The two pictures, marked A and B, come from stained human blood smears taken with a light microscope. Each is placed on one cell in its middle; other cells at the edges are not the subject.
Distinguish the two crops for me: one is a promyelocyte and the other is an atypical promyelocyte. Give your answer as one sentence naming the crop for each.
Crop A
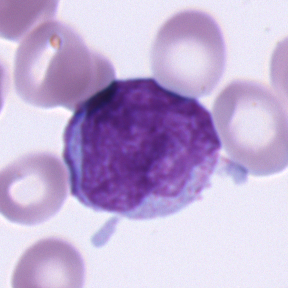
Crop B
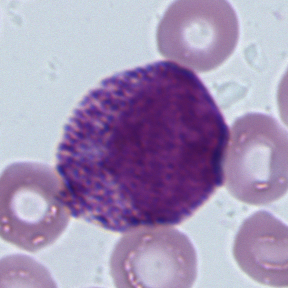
As for crop A, it is an atypical promyelocyte; crop B, by contrast, is a promyelocyte.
